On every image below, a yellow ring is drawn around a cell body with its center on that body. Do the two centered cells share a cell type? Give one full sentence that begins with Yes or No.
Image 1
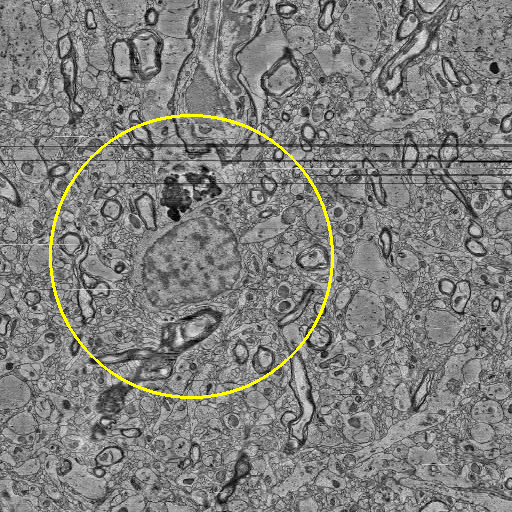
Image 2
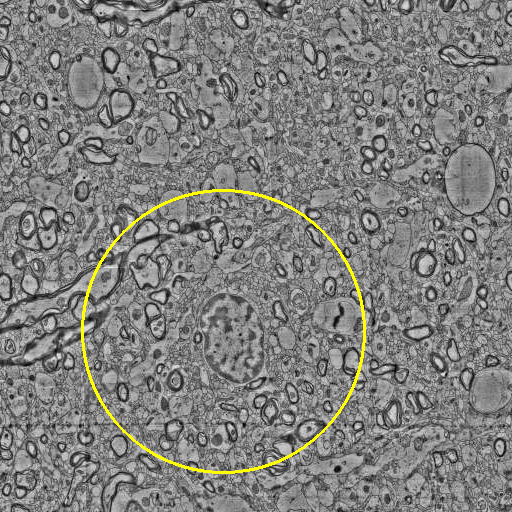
No, the centered cells in the two images are of two separate cell types.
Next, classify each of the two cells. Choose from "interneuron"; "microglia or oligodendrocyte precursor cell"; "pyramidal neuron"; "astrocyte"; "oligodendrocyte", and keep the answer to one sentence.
In the first picture it is an oligodendrocyte; in the second it is a microglial cell or oligodendrocyte precursor cell.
